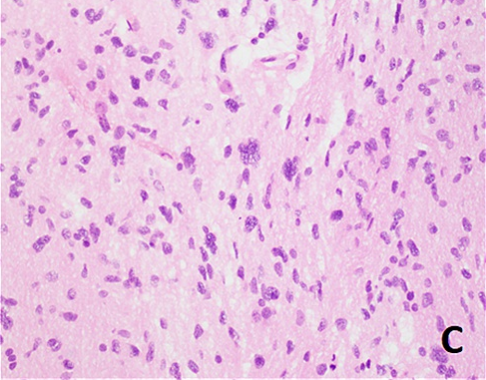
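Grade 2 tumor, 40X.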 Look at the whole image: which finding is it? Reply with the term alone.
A: Astrocytoma-like histology.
